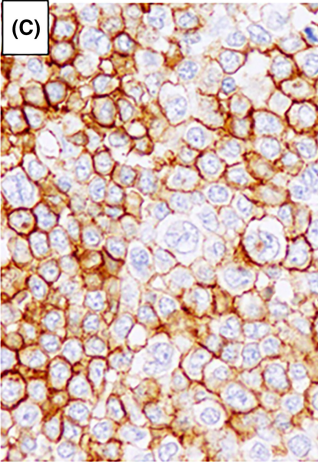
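A dense sheet of medium to large lymphoid cells fills the field, with no normal architecture left. The nuclei are round to irregular, counterstained blue, with open chromatin, and several show visible nucleoli. The cytoplasm inside the brown rings is pale to clear. This is a diffuse infiltrate of lymphoma cells with strong membranous staining.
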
